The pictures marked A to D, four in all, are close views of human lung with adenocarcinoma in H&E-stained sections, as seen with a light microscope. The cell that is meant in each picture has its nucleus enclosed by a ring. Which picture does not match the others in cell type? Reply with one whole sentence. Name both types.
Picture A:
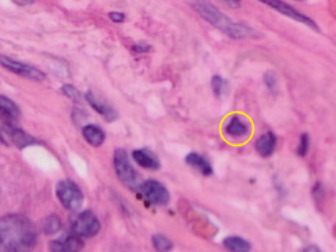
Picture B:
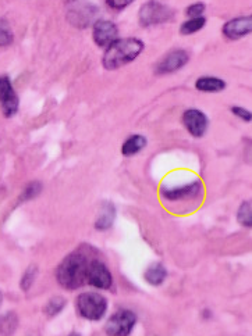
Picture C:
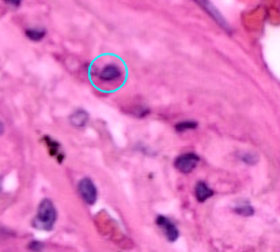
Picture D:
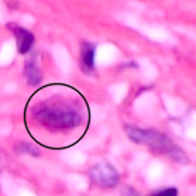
Picture B is the odd one out: it shows an endothelial cell, while the others show “smooth muscle cells or pericytes”.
